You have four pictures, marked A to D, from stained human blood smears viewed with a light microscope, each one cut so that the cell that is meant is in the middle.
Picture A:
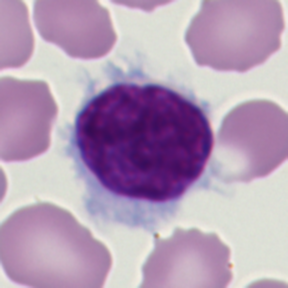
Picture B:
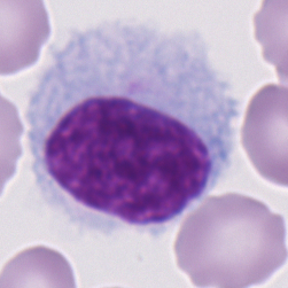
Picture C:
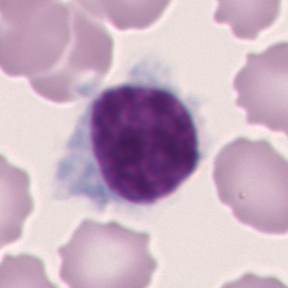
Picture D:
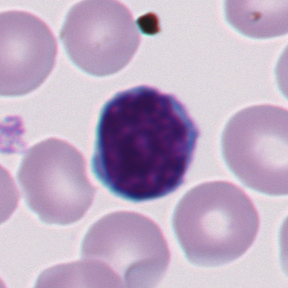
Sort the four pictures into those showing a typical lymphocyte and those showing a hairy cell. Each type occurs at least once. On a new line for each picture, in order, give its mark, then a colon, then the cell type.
A: hairy cell
B: hairy cell
C: hairy cell
D: typical lymphocyte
